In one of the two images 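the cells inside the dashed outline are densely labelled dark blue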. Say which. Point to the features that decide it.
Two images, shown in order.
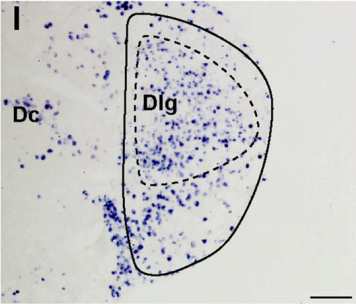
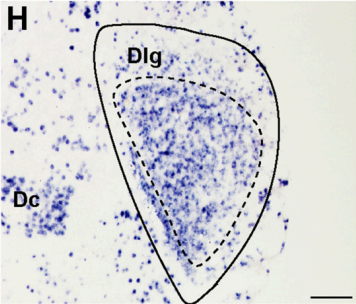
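First image: dark blue dots inside the dashed outline are scattered, with pale background between them. Second image: the dashed outline is packed with dark blue dots, nearly filling the area. So: the second image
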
